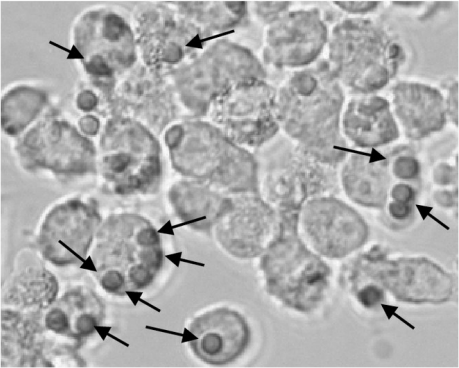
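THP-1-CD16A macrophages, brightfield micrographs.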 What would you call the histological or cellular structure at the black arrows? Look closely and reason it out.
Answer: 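The arrows point to small, round, smooth, dark bodies. These bodies lie within or pressed against much larger granular cells. Some large cells hold several of these bodies.
Phagocytosed erythrocytes.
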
